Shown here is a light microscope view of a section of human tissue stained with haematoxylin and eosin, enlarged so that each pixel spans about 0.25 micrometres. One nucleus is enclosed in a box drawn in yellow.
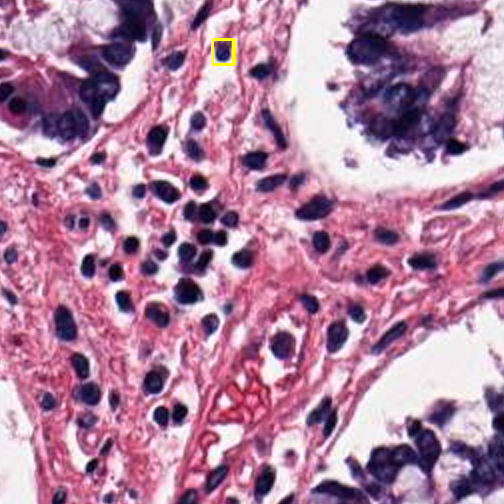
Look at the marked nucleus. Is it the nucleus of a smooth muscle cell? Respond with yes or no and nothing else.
no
